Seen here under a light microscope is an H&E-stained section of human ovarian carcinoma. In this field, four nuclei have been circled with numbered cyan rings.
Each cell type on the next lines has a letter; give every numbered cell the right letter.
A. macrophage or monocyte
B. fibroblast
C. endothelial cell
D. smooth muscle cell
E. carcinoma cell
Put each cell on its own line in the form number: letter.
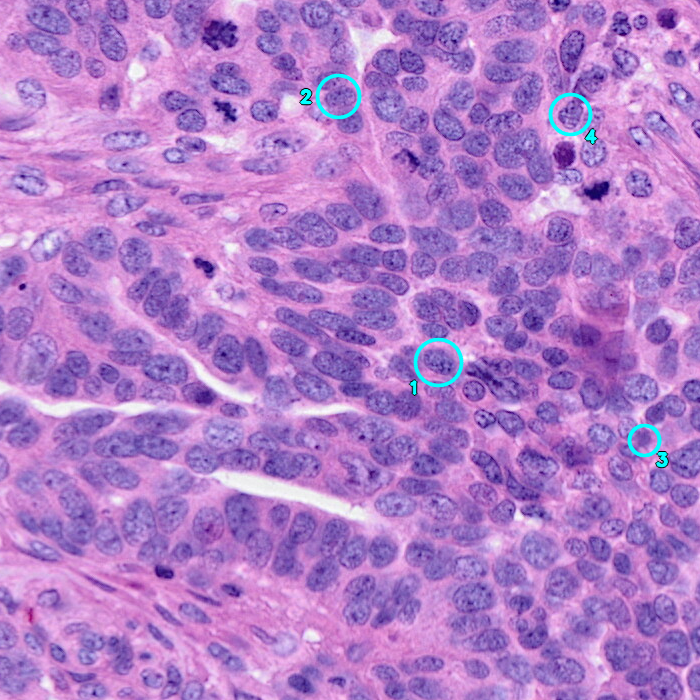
1: E
2: E
3: E
4: A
